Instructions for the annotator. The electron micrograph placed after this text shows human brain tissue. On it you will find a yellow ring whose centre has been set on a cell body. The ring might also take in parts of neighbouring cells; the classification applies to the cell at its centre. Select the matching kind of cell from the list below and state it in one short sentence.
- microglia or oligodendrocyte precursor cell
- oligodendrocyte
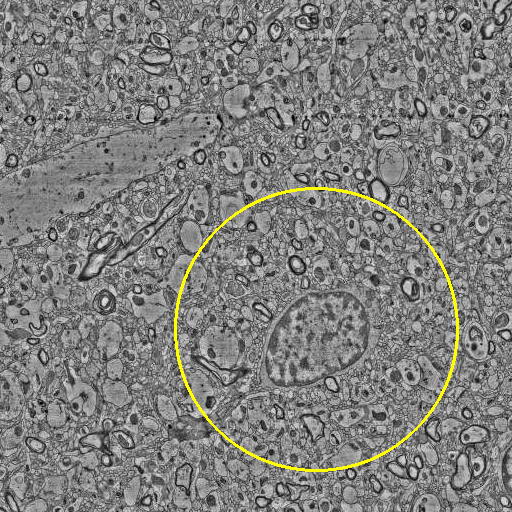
The ring is drawn on the cell body of an oligodendrocyte.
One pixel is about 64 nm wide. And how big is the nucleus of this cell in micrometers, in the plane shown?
In this plane, roughly 8 by 5 micrometres.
